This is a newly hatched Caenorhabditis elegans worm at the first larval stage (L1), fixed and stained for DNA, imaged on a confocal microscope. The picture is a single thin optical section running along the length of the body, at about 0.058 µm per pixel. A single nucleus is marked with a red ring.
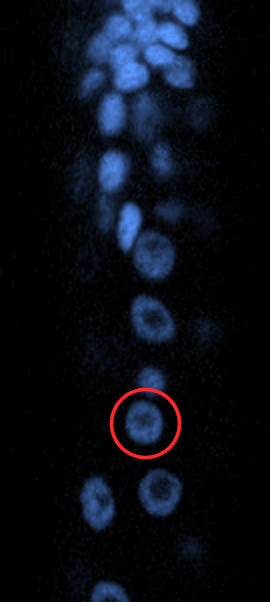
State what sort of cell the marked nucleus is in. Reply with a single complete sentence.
It belongs to a seam cell.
